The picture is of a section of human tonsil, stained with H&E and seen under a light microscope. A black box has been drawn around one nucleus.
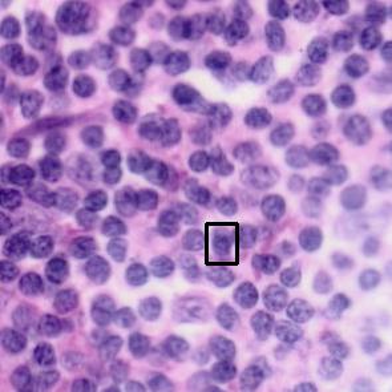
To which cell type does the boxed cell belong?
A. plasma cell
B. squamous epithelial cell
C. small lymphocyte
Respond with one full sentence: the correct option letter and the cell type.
Option C, which has the boxed cell as a small lymphocyte, is the correct choice.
